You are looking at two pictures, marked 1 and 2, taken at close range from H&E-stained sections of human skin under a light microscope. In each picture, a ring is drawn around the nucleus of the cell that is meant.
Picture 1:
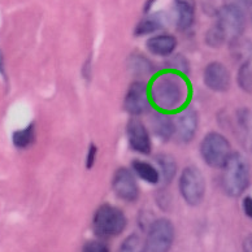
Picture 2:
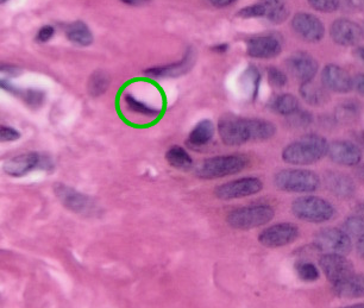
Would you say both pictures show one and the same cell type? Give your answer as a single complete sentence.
No. Picture 1 shows a basal keratinocyte, but picture 2 shows a fibroblast.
